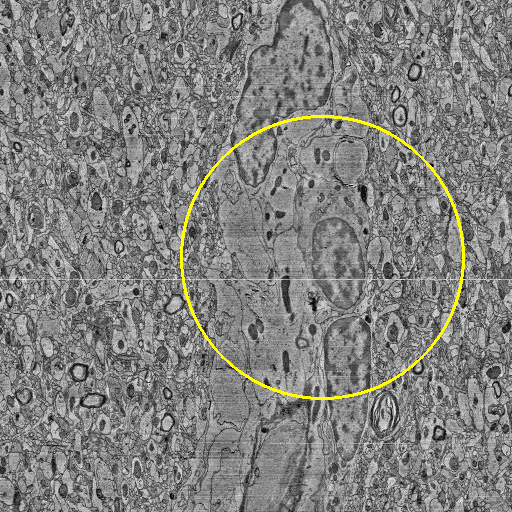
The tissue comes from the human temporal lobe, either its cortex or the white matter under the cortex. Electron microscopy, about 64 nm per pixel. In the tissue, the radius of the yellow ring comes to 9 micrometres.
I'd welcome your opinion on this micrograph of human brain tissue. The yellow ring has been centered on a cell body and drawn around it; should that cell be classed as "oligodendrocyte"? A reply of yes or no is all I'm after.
yes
